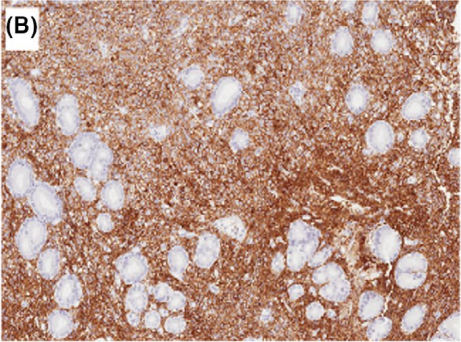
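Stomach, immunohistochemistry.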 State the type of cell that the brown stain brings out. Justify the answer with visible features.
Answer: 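Brown staining covers the dense sheet of cells between glands. The round pale glands remain unstained. Stained cells form a diffuse infiltrate. That points to this answer: lymphocytes.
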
